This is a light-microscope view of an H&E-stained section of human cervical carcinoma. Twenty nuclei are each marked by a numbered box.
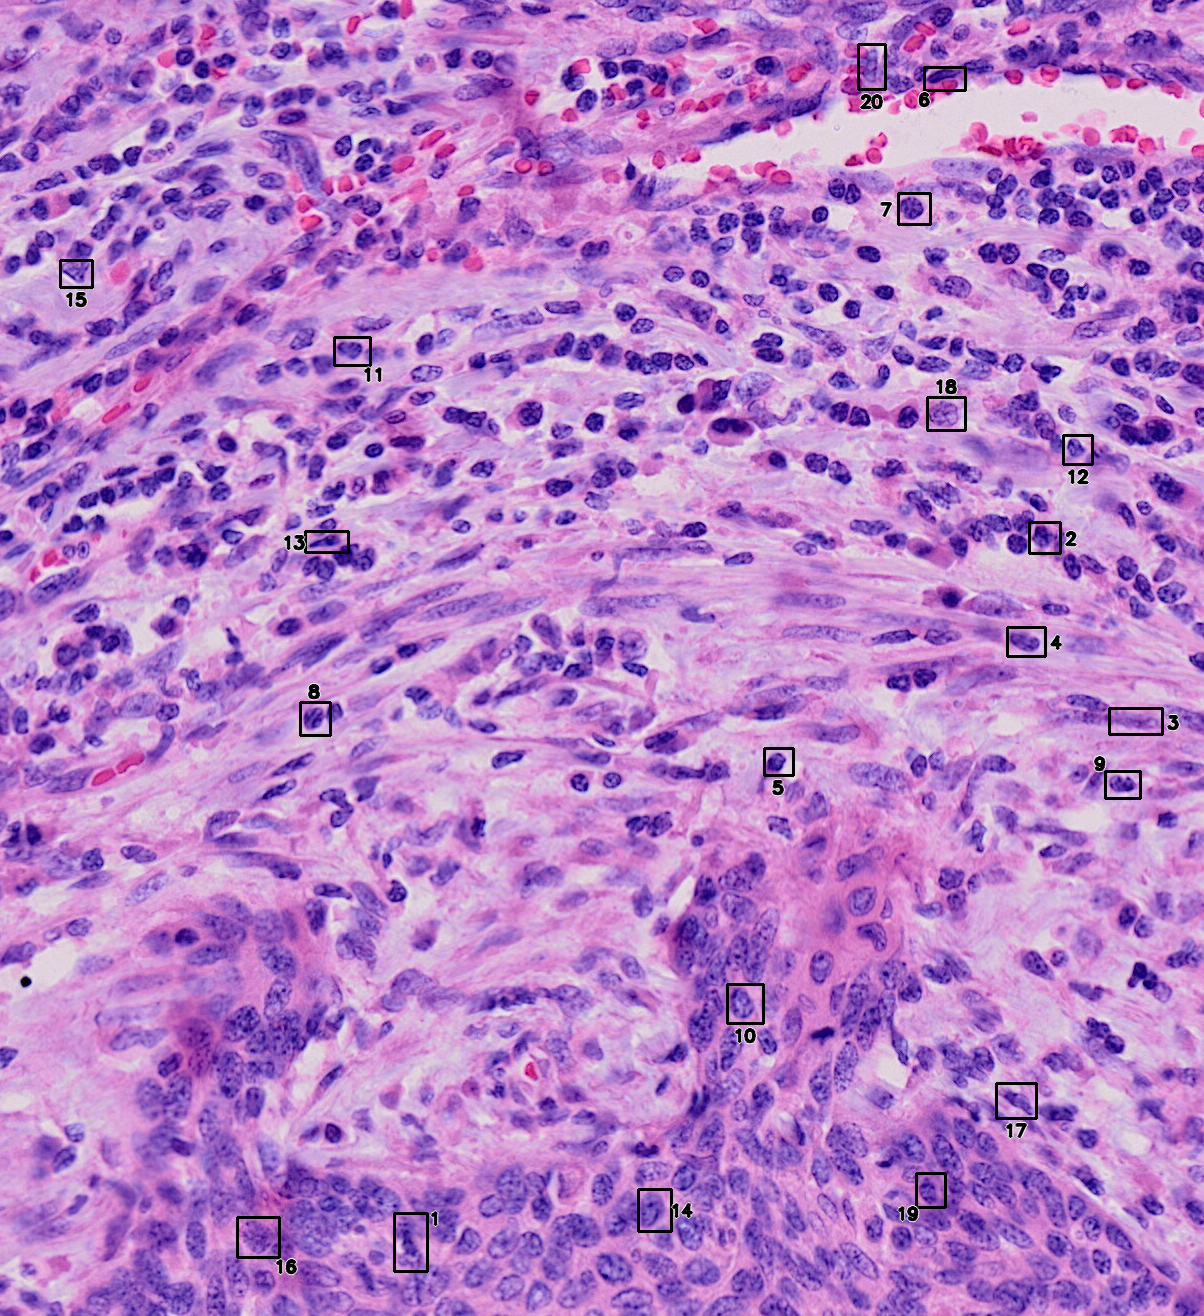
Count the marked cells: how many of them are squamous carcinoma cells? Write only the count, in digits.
5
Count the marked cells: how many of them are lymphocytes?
11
